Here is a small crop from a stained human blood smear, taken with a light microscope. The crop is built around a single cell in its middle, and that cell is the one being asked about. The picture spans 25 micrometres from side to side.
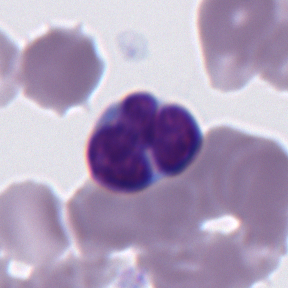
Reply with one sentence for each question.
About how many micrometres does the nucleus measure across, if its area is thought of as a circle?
About 8 micrometres: that is the diameter of the nucleus.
